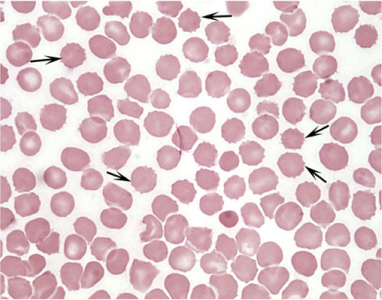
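This blood smear shows pink anucleate erythrocytes, many of which have lost their smooth round outline and show scalloped, spiky edges. The cells marked by arrows are such altered erythrocytes lying among others that keep a smooth round contour.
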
